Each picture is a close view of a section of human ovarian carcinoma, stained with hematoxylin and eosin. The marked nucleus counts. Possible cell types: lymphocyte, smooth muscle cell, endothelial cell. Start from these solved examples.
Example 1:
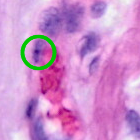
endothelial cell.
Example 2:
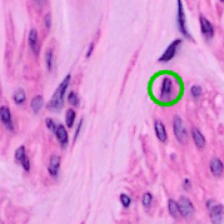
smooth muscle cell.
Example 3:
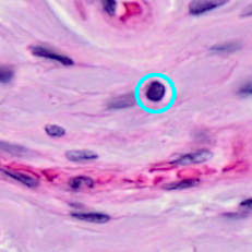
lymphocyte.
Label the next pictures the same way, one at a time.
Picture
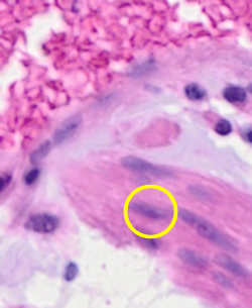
smooth muscle cell.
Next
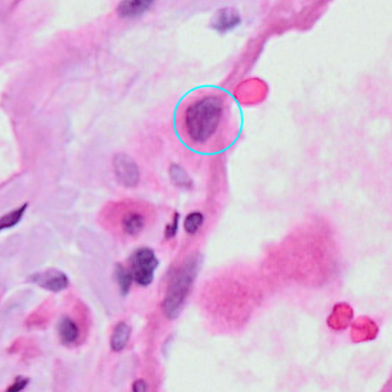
endothelial cell.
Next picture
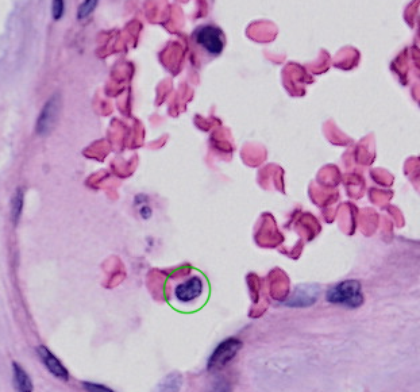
lymphocyte.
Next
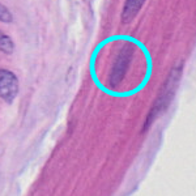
smooth muscle cell.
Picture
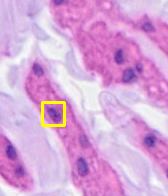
smooth muscle cell.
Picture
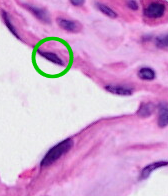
endothelial cell.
